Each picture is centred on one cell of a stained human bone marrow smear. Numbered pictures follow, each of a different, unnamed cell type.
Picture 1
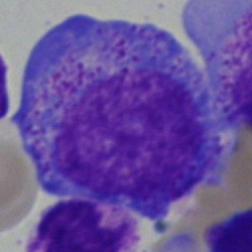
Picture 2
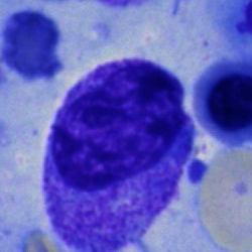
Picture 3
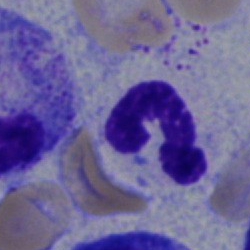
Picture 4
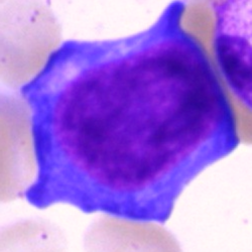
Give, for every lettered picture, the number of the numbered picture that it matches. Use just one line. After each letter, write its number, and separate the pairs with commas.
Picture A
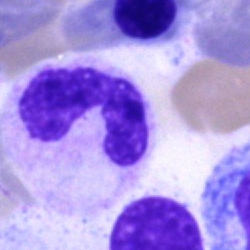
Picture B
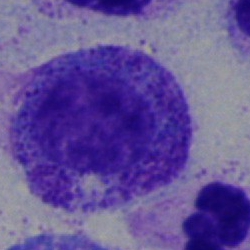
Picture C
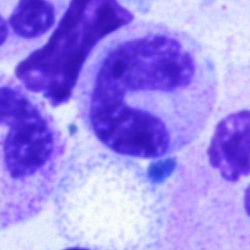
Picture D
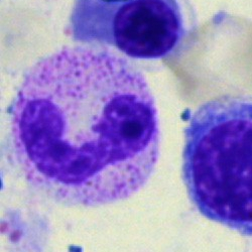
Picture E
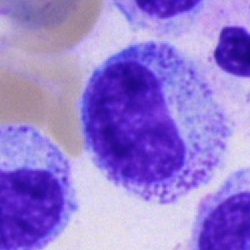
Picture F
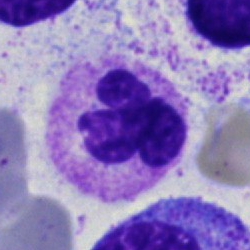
A 3, B 2, C 3, D 3, E 2, F 3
